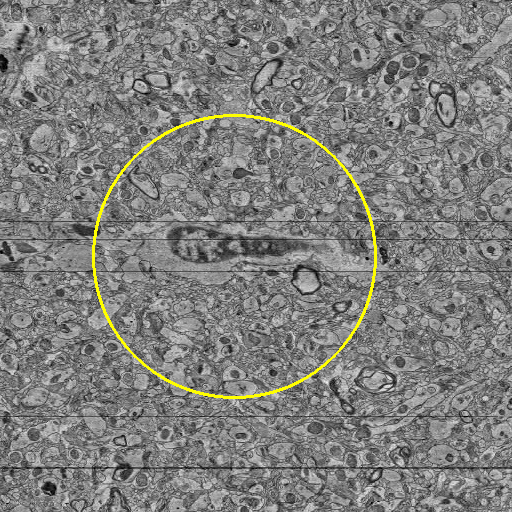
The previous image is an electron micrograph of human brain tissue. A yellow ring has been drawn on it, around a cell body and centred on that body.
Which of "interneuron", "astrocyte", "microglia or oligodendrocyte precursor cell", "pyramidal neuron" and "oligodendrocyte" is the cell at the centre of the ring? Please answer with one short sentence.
The cell body at the centre of the ring belongs to a microglial cell or oligodendrocyte precursor cell.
